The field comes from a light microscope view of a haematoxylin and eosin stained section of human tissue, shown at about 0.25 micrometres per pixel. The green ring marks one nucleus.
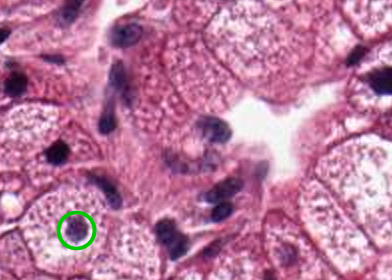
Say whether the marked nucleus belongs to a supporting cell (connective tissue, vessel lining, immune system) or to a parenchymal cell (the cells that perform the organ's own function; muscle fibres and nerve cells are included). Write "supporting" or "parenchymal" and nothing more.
parenchymal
